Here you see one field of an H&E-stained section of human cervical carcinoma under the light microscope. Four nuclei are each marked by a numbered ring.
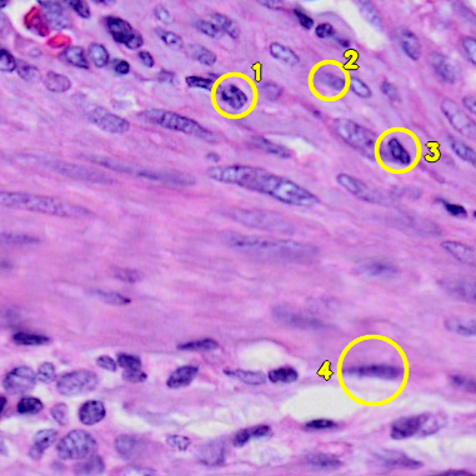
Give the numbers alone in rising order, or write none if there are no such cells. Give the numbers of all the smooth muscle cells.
2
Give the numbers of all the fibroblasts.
4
